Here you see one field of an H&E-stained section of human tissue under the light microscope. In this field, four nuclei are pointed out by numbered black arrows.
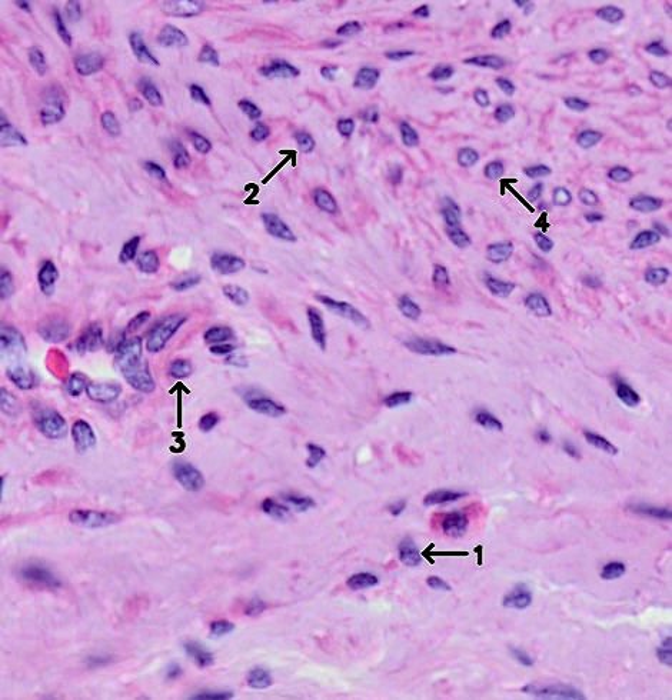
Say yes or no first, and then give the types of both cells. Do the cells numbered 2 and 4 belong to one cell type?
Yes, both of the numbered cells concerned, 2 and 4, are smooth muscle cells.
